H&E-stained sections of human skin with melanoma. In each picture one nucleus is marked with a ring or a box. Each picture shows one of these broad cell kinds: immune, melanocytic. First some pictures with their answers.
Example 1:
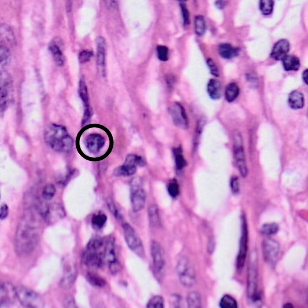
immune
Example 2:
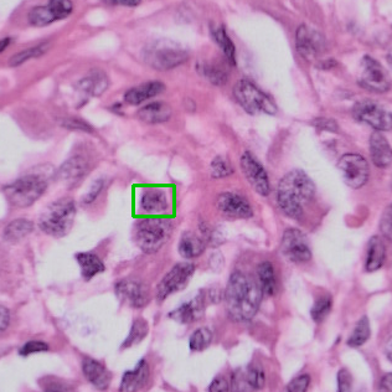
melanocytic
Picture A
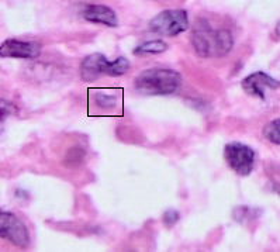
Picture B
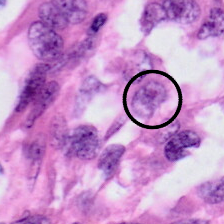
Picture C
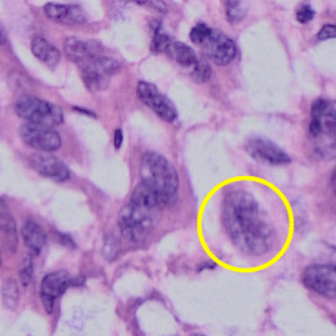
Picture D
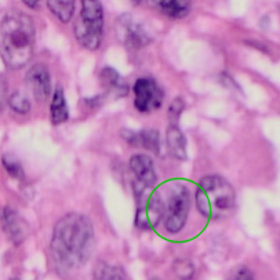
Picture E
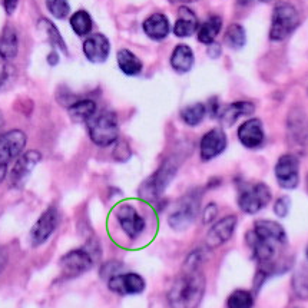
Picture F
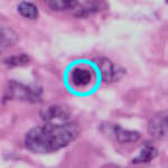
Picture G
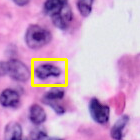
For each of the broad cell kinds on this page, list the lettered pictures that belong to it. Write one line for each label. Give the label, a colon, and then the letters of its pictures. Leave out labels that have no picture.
immune: A, E, F, G
melanocytic: B, C, D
